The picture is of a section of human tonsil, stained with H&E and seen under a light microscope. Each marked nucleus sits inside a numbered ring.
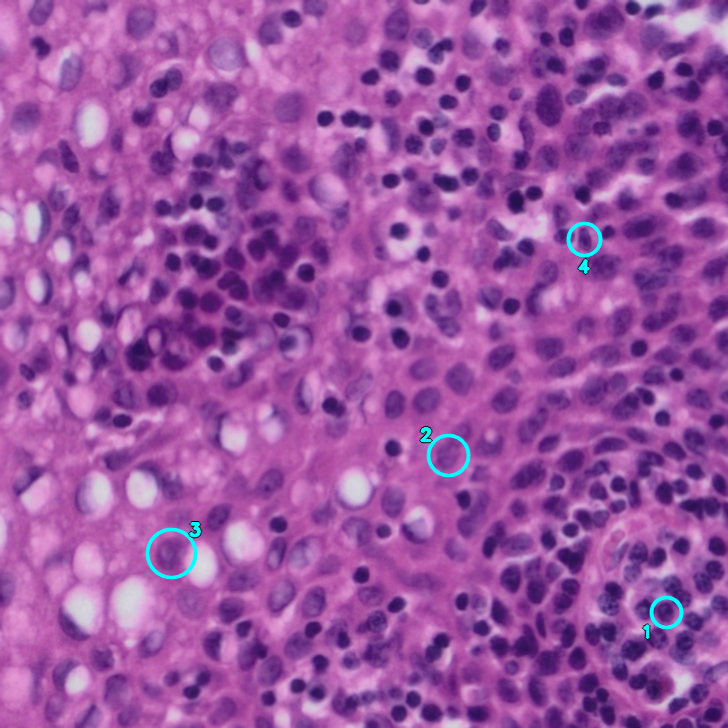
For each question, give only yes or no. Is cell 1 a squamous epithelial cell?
no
